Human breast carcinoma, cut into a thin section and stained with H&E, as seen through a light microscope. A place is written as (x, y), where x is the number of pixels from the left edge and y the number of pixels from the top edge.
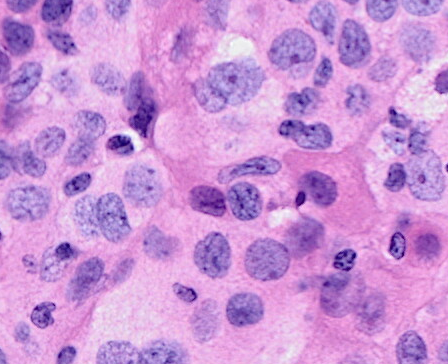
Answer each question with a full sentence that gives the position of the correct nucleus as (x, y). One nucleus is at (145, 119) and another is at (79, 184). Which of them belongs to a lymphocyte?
It is the nucleus at (79, 184) that belongs to a lymphocyte.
